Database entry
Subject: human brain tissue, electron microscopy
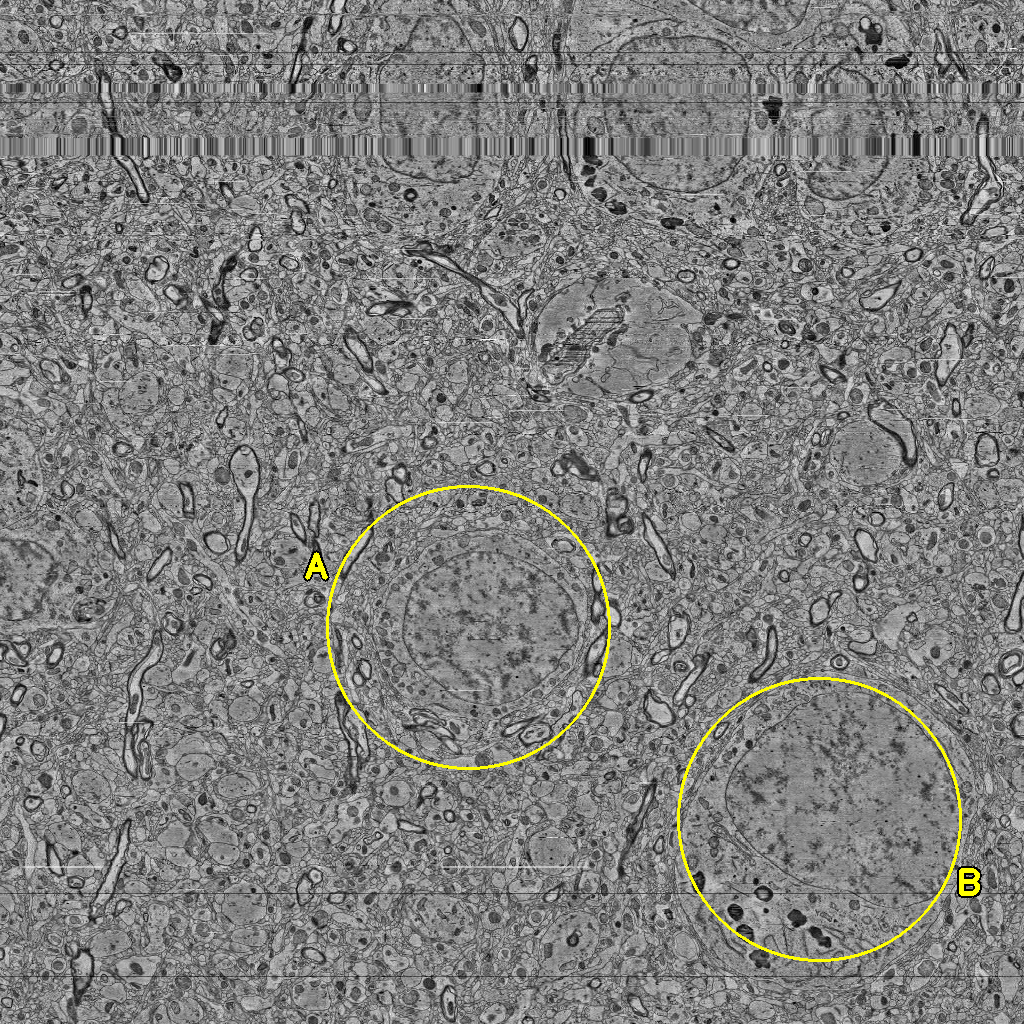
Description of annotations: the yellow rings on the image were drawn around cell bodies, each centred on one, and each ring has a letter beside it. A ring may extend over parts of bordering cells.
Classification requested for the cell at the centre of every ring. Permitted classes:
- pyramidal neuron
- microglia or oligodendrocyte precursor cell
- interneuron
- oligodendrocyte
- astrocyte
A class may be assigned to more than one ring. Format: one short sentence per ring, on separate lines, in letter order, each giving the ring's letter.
The cell body at the centre of ring A is an interneuron.
The cell body at the centre of ring B is a pyramidal neuron.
